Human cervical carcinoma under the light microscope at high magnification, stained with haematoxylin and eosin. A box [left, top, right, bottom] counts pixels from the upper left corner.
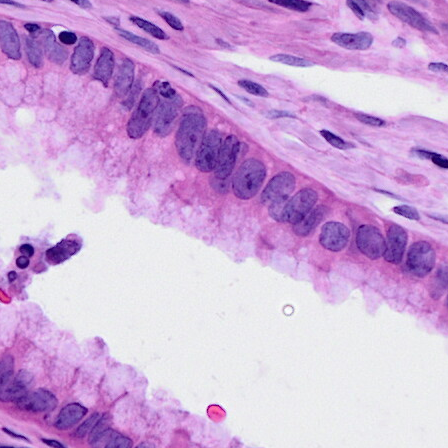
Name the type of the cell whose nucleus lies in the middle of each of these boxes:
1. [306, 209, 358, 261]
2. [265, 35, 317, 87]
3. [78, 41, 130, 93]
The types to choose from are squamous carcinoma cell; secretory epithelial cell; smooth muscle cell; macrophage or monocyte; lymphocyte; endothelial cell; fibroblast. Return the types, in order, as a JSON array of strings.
["secretory epithelial cell", "endothelial cell", "secretory epithelial cell"]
